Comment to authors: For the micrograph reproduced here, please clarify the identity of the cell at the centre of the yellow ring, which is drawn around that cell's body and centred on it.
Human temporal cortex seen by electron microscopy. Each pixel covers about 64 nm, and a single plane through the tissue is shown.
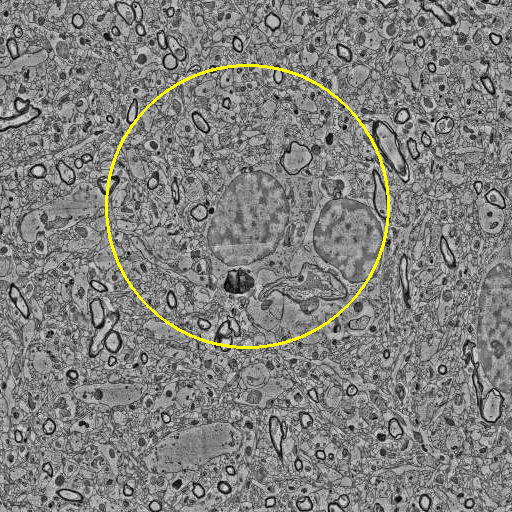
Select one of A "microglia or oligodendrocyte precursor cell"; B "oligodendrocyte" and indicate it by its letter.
B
